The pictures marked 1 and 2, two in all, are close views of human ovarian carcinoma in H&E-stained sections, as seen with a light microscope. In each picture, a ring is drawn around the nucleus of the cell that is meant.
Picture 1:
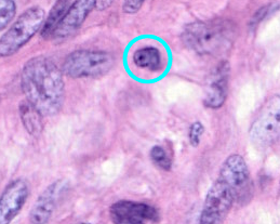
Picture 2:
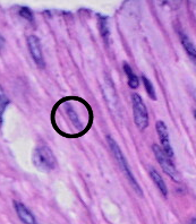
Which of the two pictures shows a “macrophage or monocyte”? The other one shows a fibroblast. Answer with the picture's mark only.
1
